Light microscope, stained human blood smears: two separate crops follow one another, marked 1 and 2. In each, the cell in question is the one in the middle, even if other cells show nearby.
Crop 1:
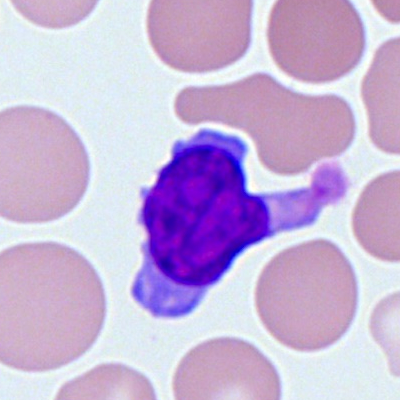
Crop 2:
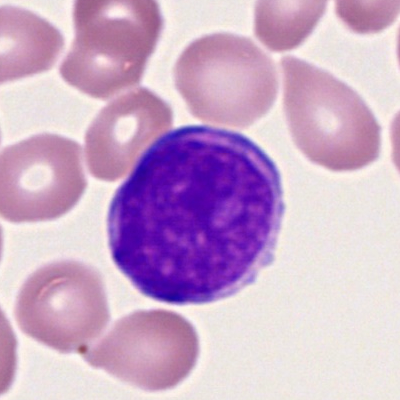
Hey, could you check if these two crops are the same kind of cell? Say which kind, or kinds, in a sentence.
No, the cell centred in crop 2 is a blast; crop 1 centres on a lymphocyte.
